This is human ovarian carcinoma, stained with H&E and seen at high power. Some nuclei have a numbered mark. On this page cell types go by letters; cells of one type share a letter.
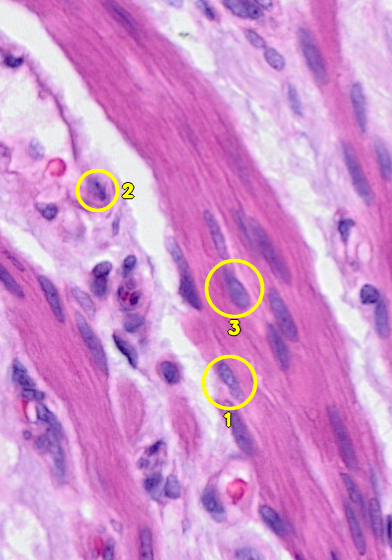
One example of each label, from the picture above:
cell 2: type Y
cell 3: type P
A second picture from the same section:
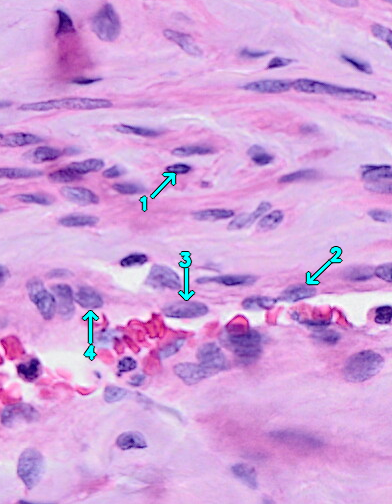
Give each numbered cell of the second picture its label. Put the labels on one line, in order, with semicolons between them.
type P; type Y; type Y; type Y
